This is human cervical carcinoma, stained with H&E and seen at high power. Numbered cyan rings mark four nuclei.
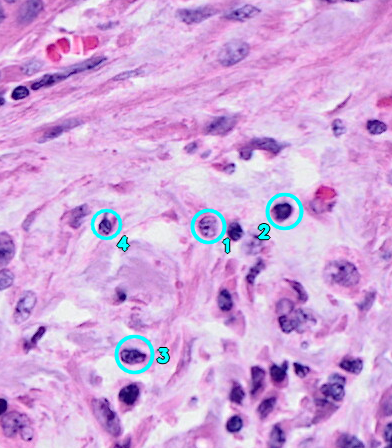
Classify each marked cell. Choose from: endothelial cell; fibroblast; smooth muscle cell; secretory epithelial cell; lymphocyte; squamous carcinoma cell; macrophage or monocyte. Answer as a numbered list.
1. macrophage or monocyte
2. lymphocyte
3. lymphocyte
4. lymphocyte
